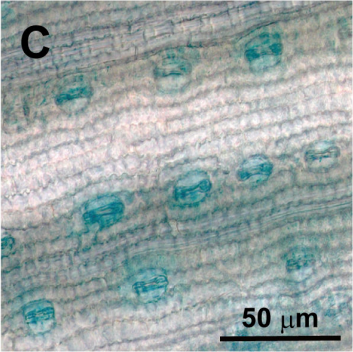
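This is a surface view of leaf epidermis in which the guard cells of the stomata stand out in blue. Each stoma appears as a pair of small guard cells lying side by side around a narrow slit-like pore, and the blue colour is concentrated in these pairs. The stomata are spaced at intervals along lines running parallel to the long axis of the leaf. Between them, the ordinary epidermal cells are elongated, laid end to end in files, and stay pale. The contrast makes the guard cells easy to pick out against the unstained background.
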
